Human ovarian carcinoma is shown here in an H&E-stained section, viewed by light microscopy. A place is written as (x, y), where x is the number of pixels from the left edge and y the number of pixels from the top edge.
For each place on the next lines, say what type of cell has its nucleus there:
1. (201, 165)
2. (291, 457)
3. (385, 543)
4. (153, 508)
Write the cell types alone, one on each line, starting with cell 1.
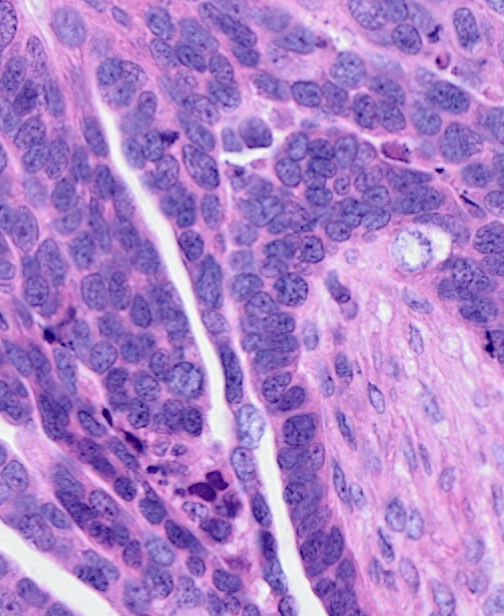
carcinoma cell
carcinoma cell
fibroblast
carcinoma cell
